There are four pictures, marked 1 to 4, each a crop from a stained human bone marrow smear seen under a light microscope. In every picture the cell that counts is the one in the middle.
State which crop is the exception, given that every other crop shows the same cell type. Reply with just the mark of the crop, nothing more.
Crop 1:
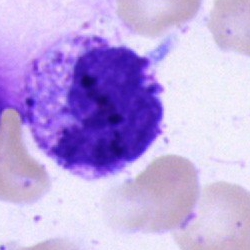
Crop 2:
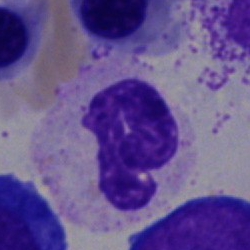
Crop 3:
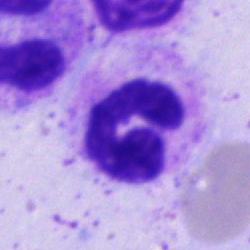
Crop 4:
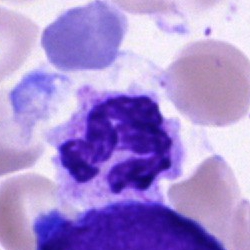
1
